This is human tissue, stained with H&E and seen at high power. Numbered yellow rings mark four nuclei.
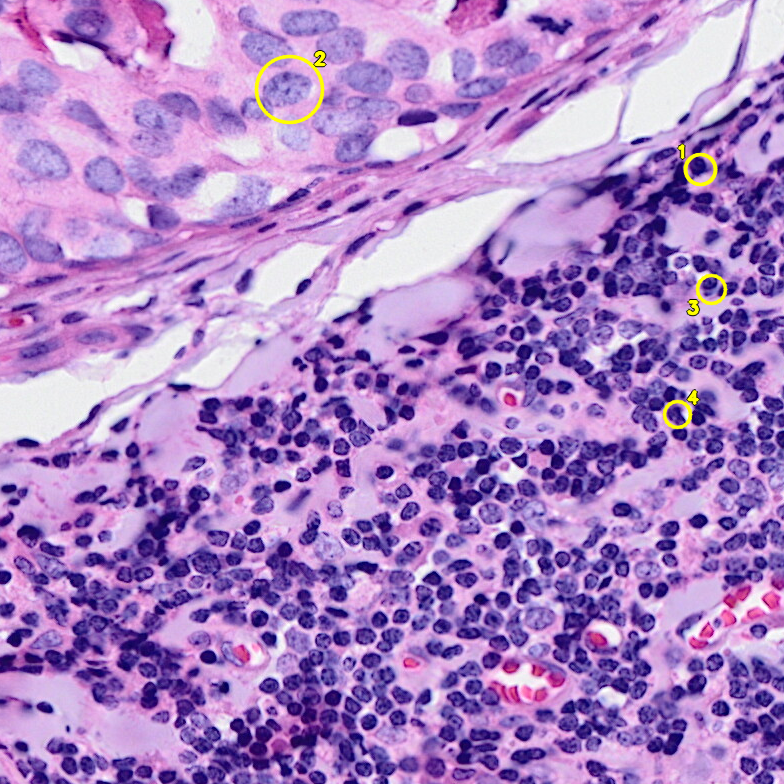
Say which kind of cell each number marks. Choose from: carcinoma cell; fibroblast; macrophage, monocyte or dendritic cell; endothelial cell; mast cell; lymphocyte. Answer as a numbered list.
1. lymphocyte
2. carcinoma cell
3. lymphocyte
4. lymphocyte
